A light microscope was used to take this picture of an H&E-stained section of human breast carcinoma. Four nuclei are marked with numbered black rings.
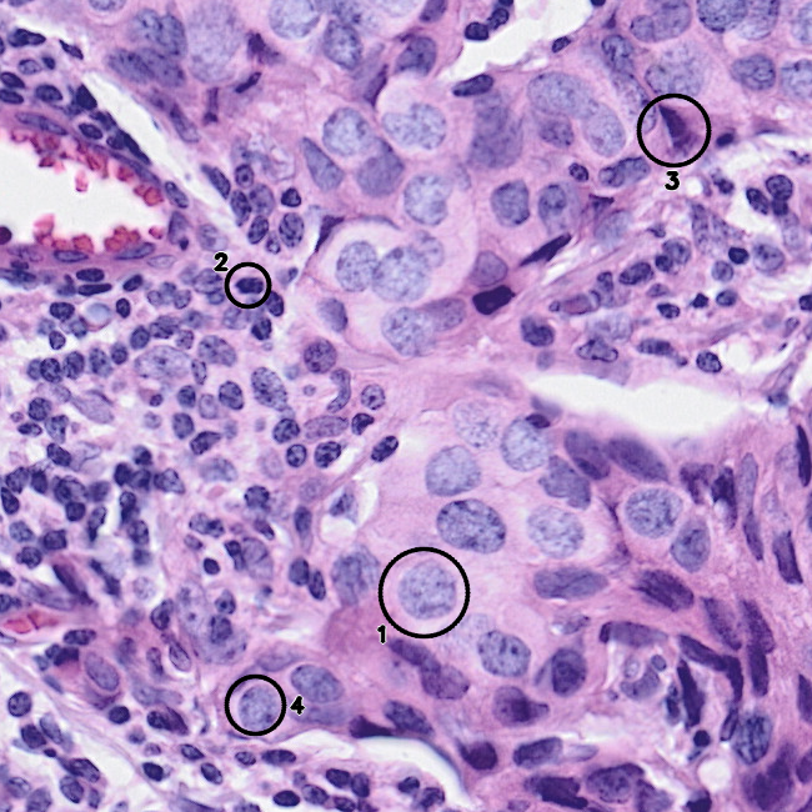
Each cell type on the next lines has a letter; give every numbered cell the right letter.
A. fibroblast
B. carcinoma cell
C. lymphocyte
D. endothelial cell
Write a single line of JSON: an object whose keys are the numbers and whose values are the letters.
{"1": "B", "2": "C", "3": "B", "4": "B"}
